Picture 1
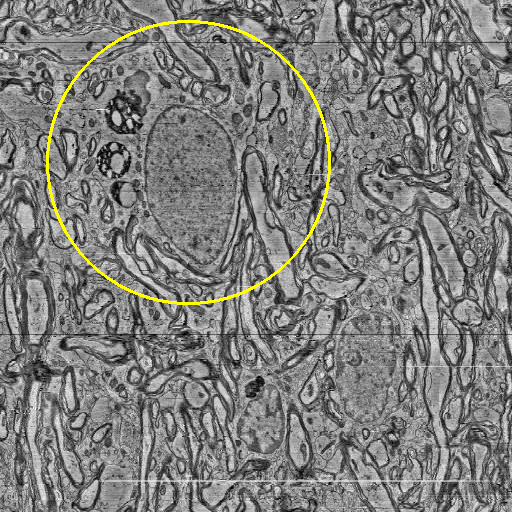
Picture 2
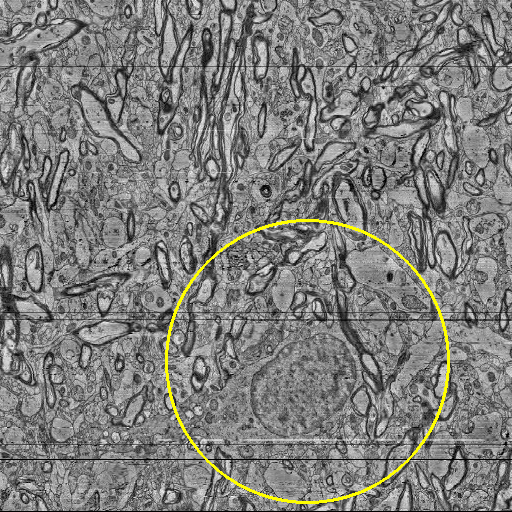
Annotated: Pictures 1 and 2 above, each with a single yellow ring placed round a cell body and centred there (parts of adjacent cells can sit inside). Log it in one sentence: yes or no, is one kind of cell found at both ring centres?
No, the ring centres of the two pictures hold cells of two kinds.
